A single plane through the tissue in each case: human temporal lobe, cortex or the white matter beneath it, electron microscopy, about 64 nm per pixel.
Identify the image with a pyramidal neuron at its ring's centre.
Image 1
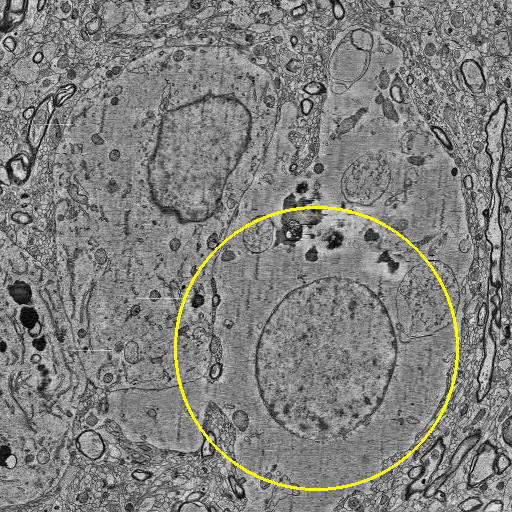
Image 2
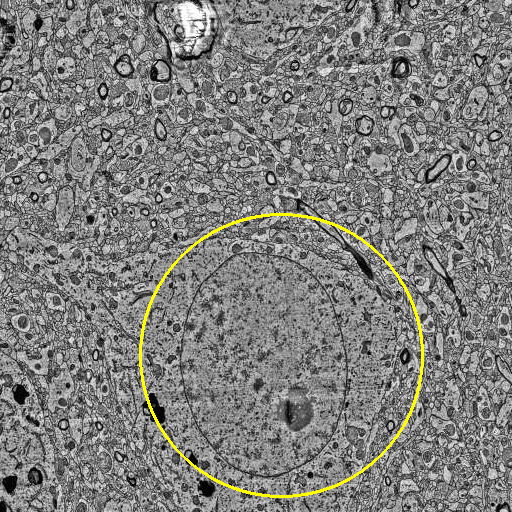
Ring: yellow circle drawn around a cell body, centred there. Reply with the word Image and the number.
Image 2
